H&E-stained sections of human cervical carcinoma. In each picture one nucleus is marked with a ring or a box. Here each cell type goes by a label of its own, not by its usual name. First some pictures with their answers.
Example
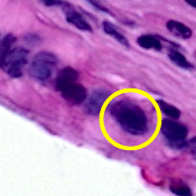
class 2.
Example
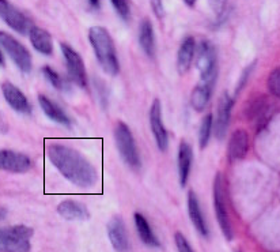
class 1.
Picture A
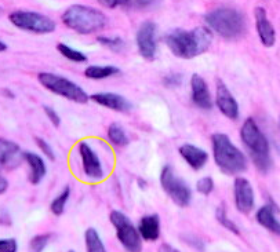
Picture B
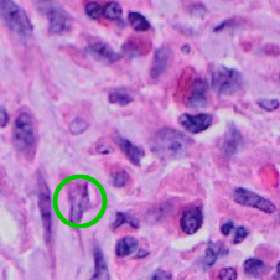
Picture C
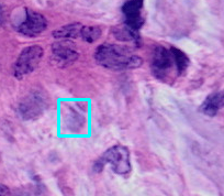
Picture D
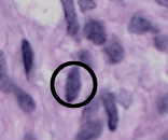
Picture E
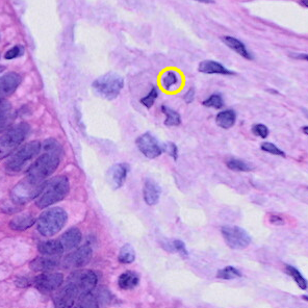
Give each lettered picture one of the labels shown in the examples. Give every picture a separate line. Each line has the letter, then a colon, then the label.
A: class 1.
B: class 1.
C: class 1.
D: class 1.
E: class 1.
